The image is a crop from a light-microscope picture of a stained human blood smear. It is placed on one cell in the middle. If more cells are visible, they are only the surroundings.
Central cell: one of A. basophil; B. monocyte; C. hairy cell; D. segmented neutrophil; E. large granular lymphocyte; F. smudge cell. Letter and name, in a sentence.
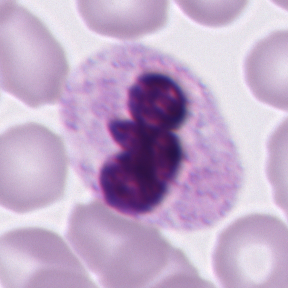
The middle cell of the crop is a segmented neutrophil; accordingly, option D is correct.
